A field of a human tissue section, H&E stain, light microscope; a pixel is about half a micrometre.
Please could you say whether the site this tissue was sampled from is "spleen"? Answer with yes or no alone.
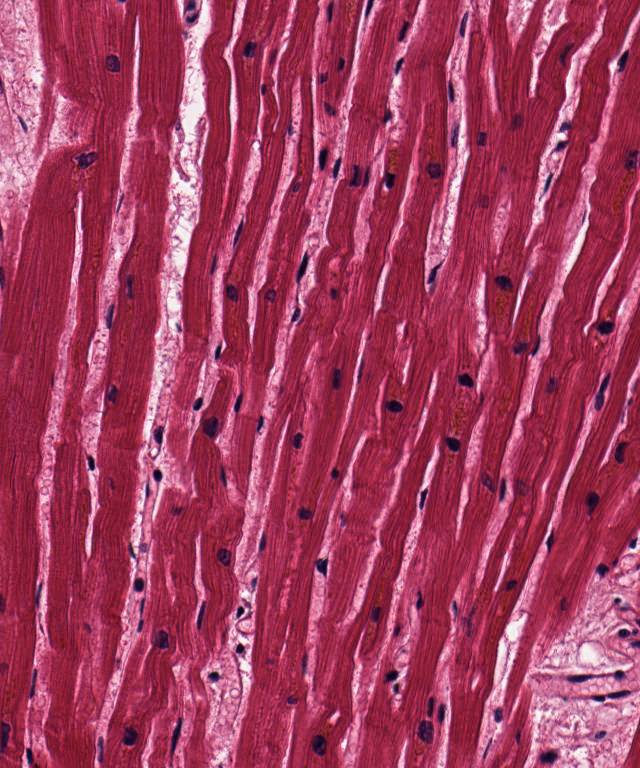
no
